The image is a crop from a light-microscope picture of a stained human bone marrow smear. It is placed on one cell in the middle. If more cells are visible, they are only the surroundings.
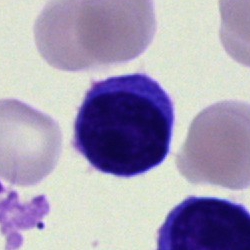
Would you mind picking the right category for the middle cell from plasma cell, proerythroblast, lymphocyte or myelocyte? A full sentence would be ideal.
In short, the cell at the center is a lymphocyte.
